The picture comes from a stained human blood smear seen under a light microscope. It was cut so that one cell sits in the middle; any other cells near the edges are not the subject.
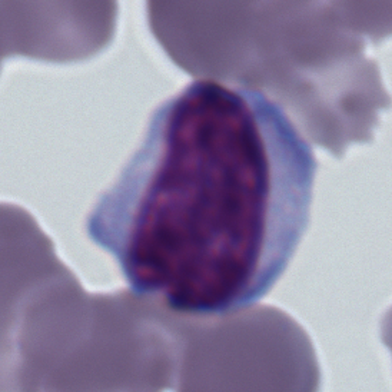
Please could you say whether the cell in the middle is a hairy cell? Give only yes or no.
no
